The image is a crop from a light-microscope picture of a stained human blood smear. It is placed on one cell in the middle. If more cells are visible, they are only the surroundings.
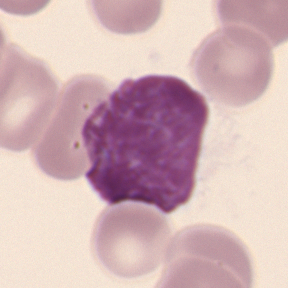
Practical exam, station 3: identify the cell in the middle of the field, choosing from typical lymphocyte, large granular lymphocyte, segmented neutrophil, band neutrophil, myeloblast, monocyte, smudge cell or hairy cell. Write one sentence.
The cell under consideration, at the middle of the crop, is a smudge cell.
